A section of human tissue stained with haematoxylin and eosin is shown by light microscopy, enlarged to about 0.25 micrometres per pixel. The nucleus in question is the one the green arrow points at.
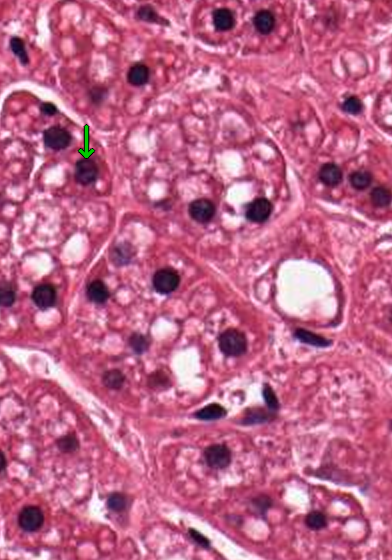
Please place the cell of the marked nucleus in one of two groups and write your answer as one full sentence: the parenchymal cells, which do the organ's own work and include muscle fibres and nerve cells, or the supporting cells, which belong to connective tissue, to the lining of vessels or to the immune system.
In the section shown, the marked nucleus belongs to a parenchymal cell, namely an adrenal cortical cell.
